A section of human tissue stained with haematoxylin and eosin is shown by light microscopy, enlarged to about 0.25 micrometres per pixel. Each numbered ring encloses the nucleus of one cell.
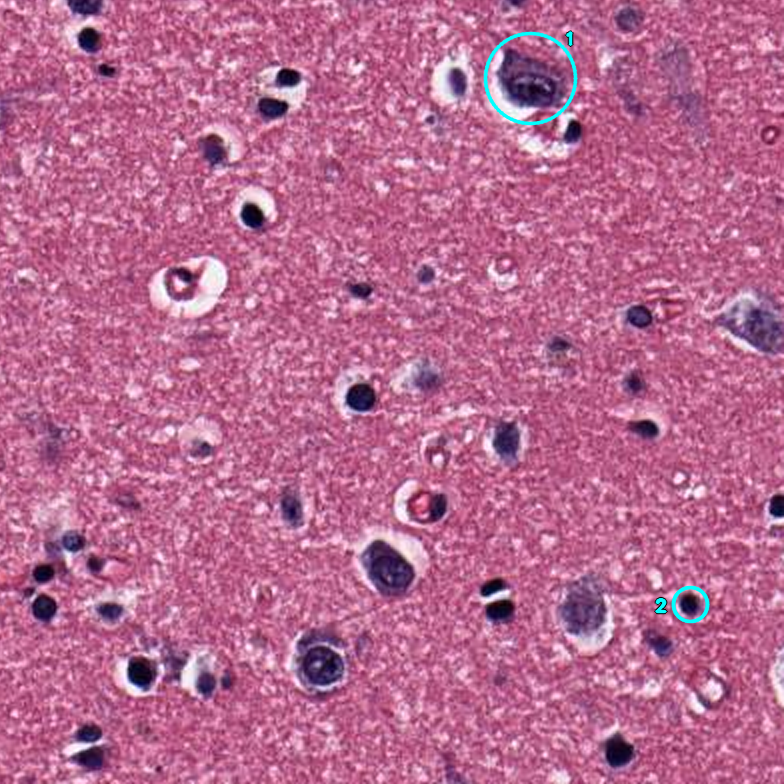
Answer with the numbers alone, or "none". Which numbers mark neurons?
1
